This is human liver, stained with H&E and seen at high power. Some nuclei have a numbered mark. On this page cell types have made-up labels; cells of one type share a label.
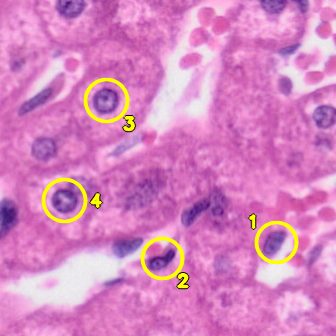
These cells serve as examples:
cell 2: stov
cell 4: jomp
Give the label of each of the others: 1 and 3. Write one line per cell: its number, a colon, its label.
1: stov
3: jomp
